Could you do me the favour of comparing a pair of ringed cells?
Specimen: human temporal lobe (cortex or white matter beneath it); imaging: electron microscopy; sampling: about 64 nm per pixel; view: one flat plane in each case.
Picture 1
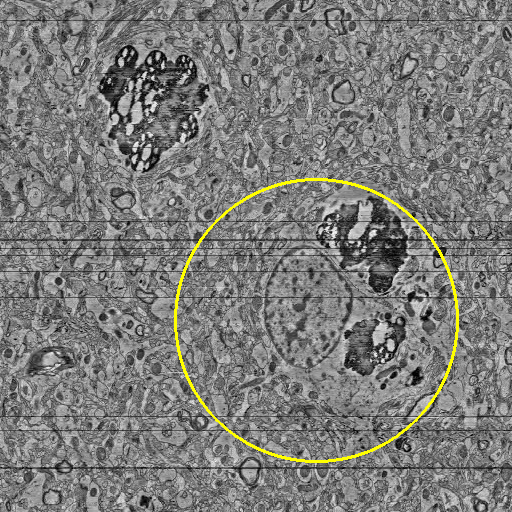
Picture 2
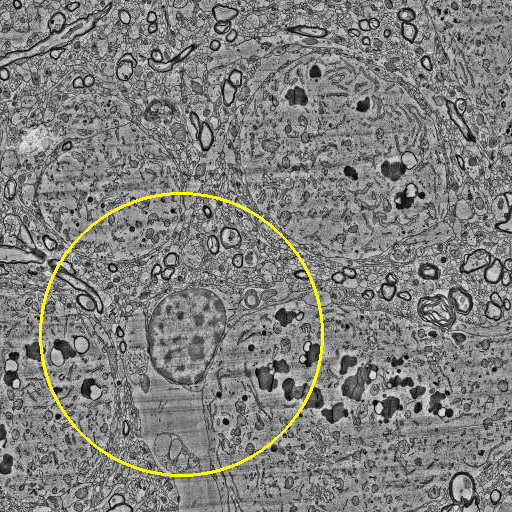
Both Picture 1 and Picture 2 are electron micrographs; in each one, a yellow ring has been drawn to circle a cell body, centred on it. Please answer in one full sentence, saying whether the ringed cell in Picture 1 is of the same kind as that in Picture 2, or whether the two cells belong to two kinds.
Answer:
The ringed cells in Picture 1 and Picture 2 belong to two kinds.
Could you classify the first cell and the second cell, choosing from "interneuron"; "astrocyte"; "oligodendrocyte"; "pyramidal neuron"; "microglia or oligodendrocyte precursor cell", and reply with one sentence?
The second cell is a microglial cell or oligodendrocyte precursor cell, while the first is an astrocyte.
